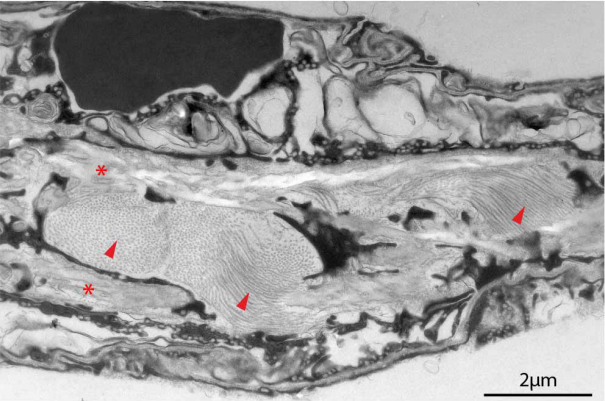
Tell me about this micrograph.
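At top a capillary holds a dense, homogeneous red blood cell, surrounded by thin cell processes and membrane profiles. Below it the interstitium is widened and filled with large bundles of fine collagen fibrils, appearing as stippled dots where cut across and as parallel wavy lines where cut lengthwise. Thin dark cell processes weave between the bundles. The overall septum is much thicker than a normal thin gas-exchange wall.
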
